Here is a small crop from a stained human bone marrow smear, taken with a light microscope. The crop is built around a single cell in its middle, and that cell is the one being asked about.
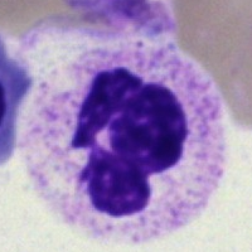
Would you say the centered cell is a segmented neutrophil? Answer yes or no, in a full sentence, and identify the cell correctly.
Yes, the cell in the exact middle is a segmented neutrophil.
